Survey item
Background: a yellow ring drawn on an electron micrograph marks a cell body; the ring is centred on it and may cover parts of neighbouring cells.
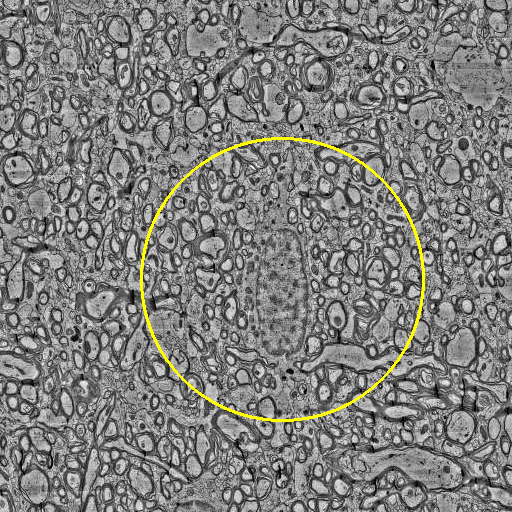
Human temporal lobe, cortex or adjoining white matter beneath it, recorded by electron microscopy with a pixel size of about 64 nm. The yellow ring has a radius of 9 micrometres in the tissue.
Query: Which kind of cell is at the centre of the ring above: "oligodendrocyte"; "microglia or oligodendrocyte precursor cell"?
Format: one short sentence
The cell in the middle of the ring is an oligodendrocyte.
